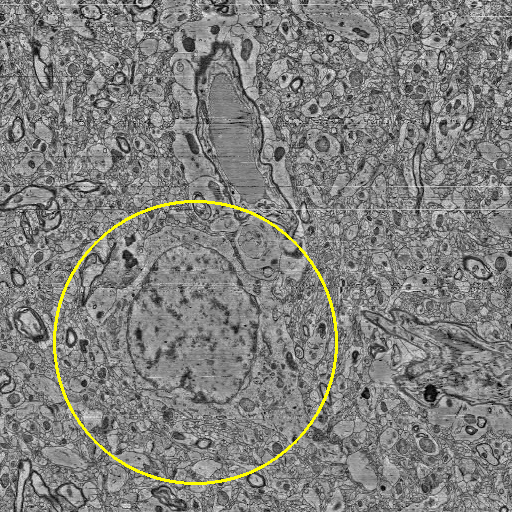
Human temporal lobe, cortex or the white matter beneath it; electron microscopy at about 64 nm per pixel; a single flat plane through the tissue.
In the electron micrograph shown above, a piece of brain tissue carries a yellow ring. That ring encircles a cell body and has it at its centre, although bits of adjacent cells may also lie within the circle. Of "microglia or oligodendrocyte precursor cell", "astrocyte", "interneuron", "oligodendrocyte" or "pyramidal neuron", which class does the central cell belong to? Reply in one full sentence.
The cell body at the centre of the yellow ring belongs to an interneuron.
